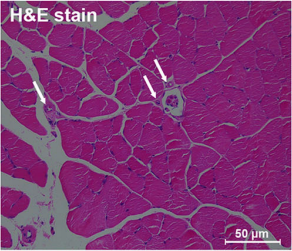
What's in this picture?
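A cross section of skeletal muscle shows polygonal muscle fibers with evenly eosin-pink cytoplasm and small dark nuclei at their edges. The fibers are separated by pale grey spaces, and in the interstitium between them lie small blood vessels, seen as round profiles with a lumen and a thin wall lined by nuclei.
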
